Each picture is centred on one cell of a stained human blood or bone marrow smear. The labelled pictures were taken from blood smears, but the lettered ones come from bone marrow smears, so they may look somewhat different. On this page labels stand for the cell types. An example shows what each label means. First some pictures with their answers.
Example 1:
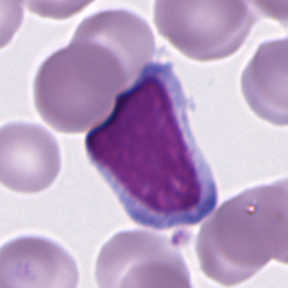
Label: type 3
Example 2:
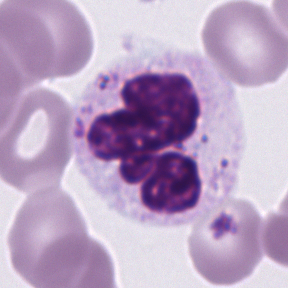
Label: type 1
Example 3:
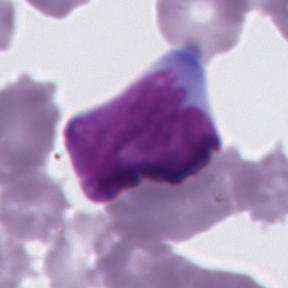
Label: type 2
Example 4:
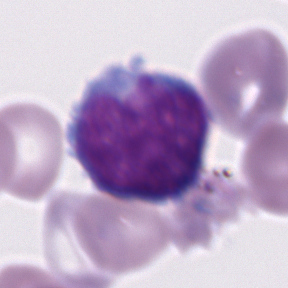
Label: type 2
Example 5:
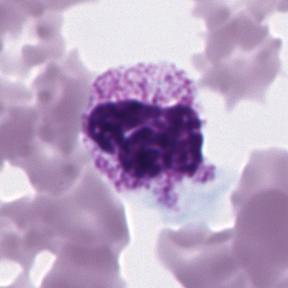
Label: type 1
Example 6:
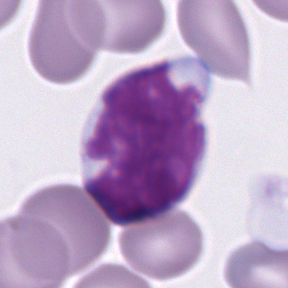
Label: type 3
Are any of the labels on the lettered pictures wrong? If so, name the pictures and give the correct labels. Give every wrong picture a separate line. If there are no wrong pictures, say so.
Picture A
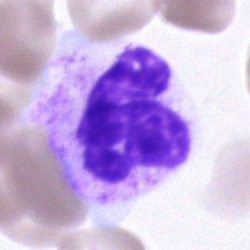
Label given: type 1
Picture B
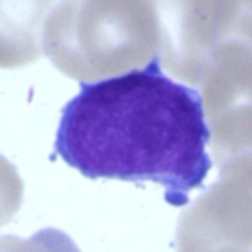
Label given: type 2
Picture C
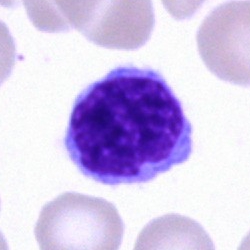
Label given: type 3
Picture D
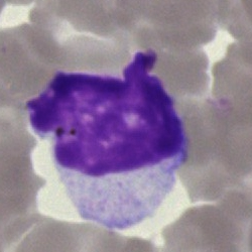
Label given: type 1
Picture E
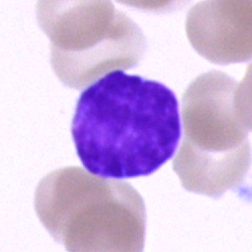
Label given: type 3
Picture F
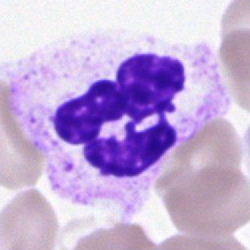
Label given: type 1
D should be type 2, not type 1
